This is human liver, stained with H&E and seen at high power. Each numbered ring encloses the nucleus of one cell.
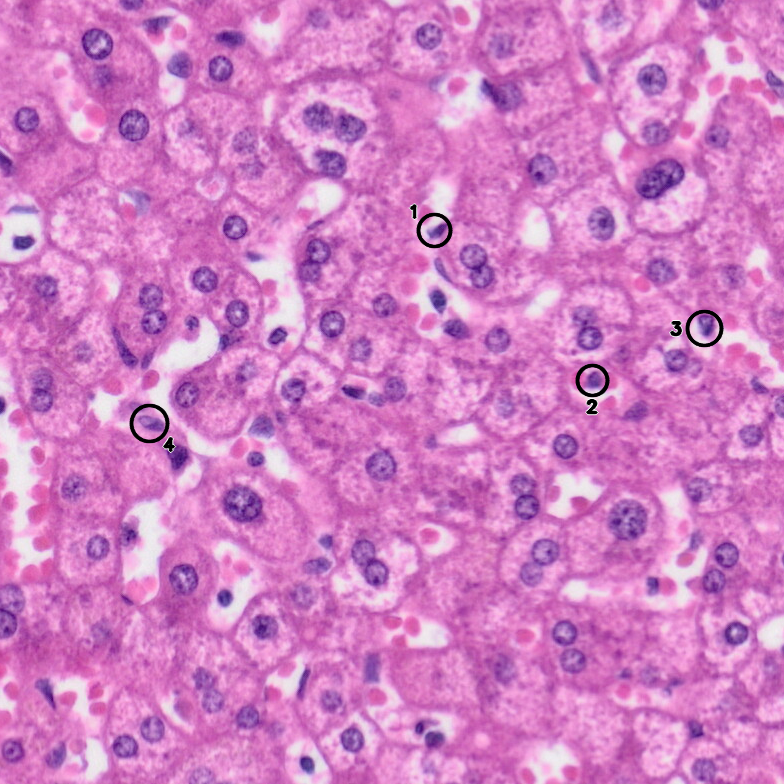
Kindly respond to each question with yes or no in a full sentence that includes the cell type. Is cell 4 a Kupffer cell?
Yes, the cell numbered 4 in this tissue is a Kupffer cell.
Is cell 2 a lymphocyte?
Yes, the cell with number 2 is a lymphocyte.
